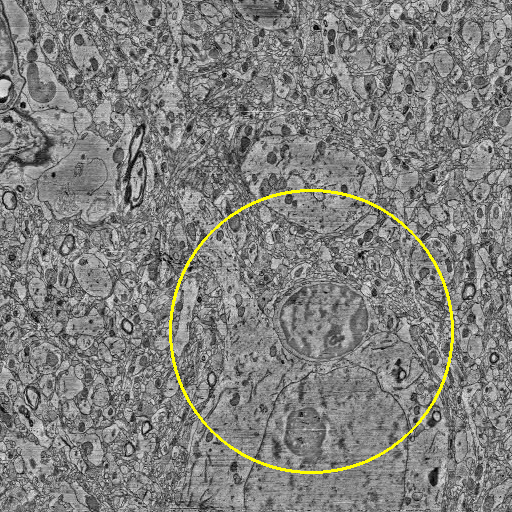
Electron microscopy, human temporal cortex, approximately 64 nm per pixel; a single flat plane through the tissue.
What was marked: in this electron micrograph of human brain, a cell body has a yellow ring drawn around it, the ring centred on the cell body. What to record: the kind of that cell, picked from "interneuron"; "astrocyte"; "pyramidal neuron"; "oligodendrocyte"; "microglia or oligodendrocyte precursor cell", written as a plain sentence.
The centred cell is an oligodendrocyte.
